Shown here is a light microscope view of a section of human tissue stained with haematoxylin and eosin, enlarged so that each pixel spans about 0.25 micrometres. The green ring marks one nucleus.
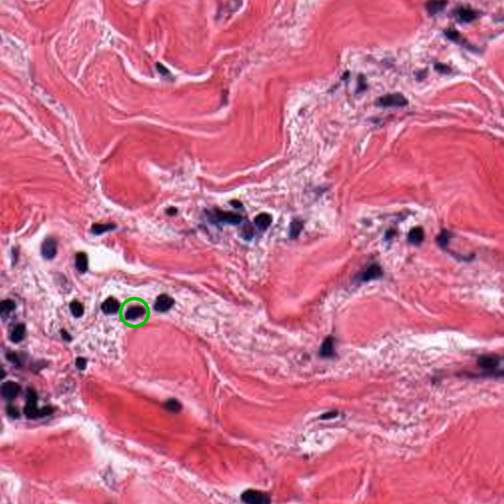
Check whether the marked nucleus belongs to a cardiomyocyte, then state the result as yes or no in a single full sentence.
No, instead of being part of a cardiomyocyte, the marked nucleus is part of a supporting cell.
